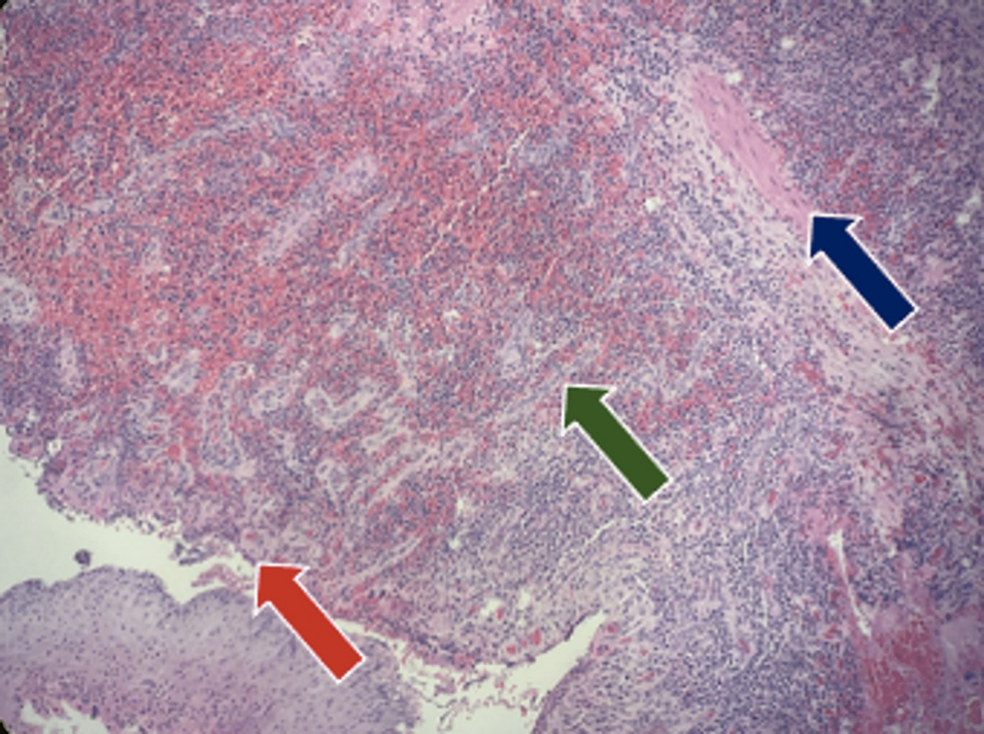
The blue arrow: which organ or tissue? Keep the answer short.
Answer: smooth muscle fibers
